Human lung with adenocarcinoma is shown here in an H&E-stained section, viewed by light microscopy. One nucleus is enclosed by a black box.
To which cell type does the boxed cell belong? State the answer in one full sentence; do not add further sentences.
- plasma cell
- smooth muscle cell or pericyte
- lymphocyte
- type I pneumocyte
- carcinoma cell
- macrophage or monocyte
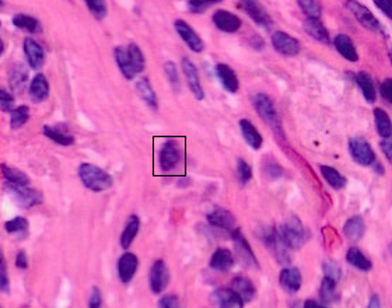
In the stained section, the boxed cell is a plasma cell.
